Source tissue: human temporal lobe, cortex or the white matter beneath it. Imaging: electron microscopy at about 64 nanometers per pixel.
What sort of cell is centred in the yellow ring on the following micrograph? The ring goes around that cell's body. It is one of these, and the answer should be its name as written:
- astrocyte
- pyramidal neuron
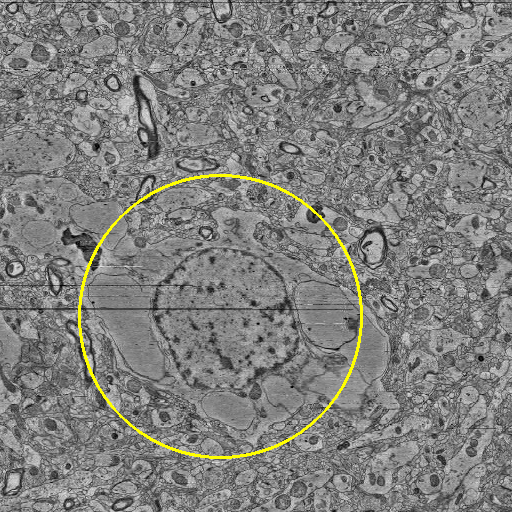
astrocyte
